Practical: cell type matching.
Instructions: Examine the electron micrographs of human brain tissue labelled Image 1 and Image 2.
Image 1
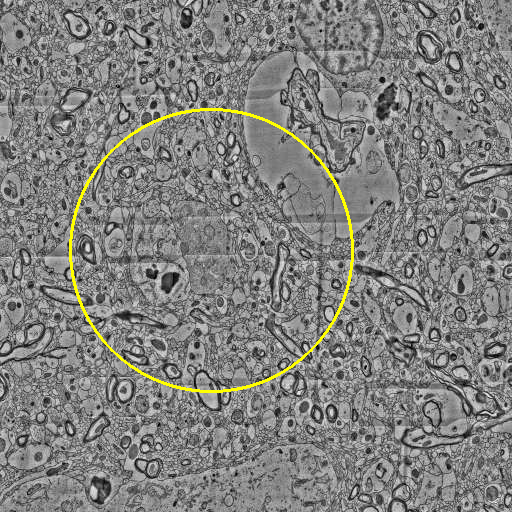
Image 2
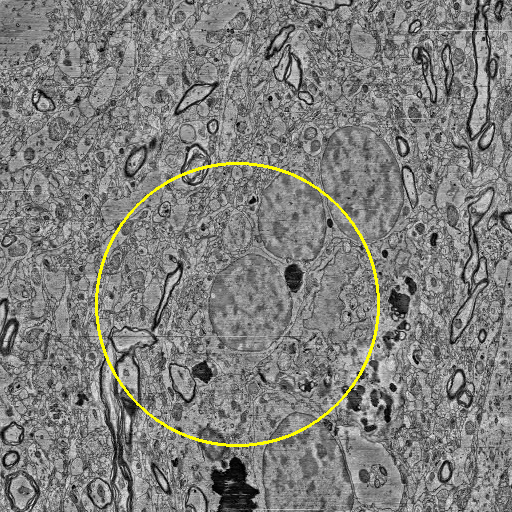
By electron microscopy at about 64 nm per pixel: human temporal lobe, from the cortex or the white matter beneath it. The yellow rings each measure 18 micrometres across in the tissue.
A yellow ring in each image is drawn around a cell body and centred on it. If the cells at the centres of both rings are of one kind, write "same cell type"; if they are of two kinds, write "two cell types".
same cell type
